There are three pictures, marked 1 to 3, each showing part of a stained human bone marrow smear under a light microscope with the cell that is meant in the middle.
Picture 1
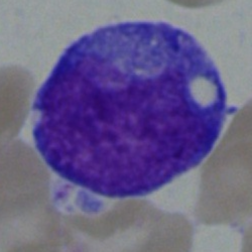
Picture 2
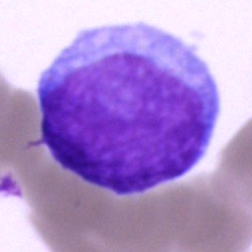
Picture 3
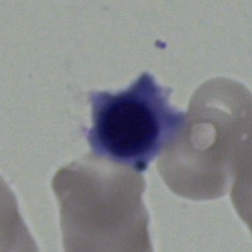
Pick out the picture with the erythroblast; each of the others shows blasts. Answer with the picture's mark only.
3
